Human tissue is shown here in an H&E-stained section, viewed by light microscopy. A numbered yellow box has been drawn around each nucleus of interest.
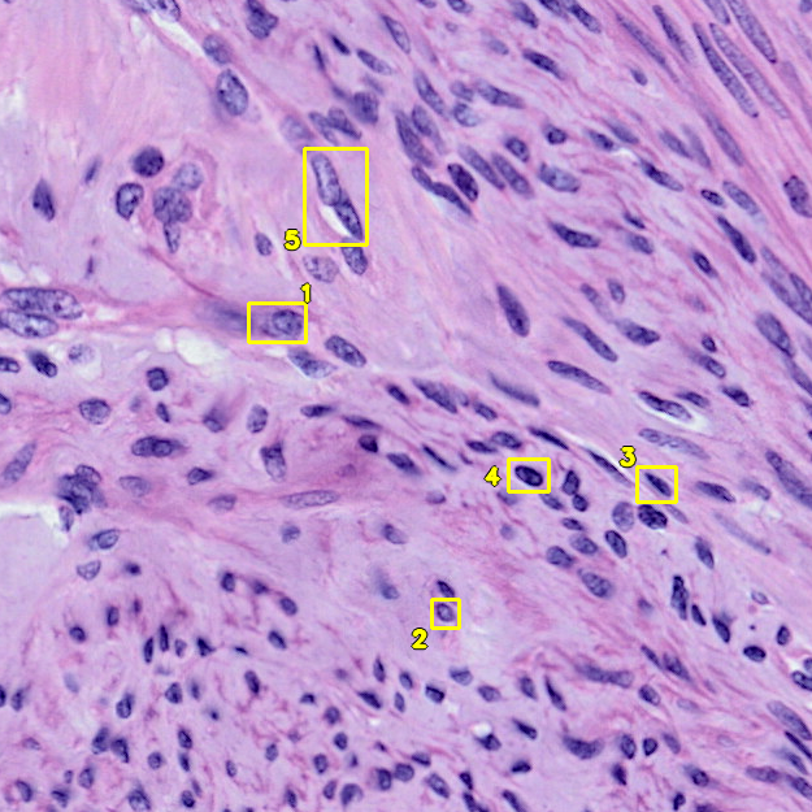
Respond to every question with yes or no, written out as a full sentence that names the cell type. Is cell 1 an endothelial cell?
Yes, the cell marked with number 1 is an endothelial cell.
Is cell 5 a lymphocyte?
No, the cell at marker 5 is not a lymphocyte; it is an endothelial cell.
